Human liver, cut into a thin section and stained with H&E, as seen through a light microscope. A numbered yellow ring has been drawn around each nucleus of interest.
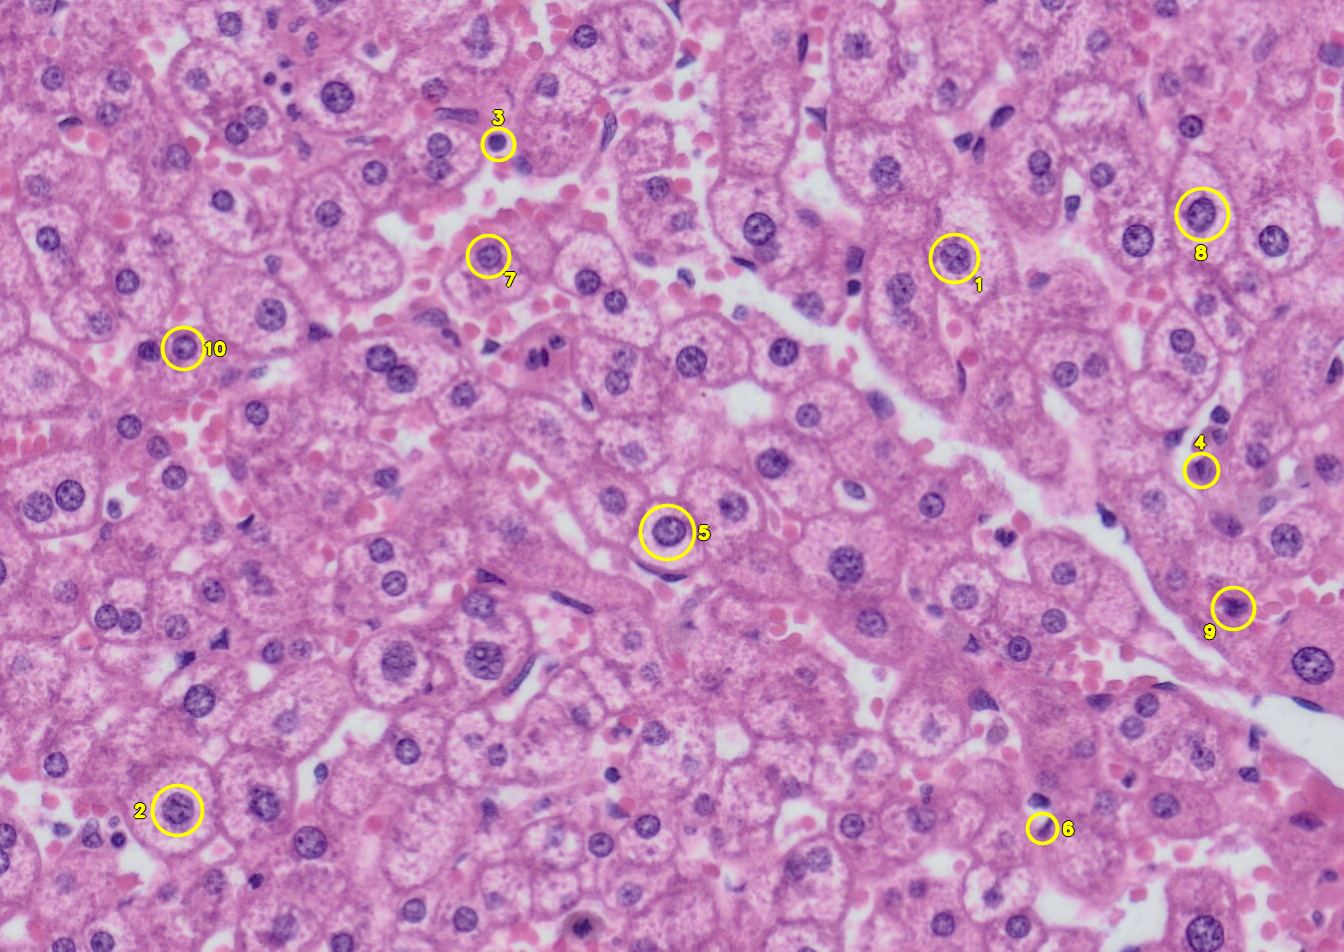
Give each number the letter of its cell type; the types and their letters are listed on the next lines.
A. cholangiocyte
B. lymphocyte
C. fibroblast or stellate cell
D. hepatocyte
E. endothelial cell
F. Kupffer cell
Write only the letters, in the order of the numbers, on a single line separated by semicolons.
D; D; B; F; D; E; D; D; C; D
